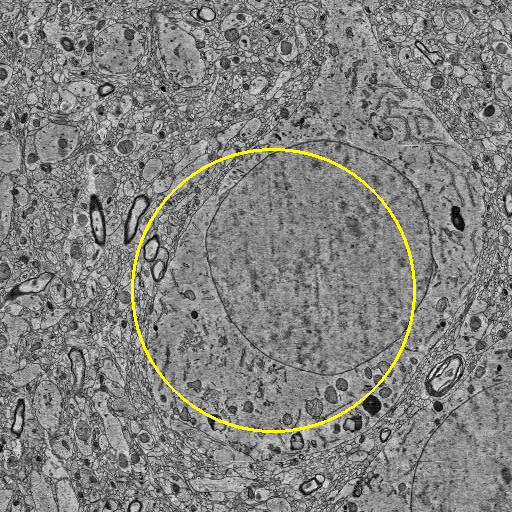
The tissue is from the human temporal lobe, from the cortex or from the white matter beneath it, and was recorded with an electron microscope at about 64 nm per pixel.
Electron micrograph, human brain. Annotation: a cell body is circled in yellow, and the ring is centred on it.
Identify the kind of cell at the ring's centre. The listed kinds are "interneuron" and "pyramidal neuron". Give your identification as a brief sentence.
The circled cell body is that of a pyramidal neuron.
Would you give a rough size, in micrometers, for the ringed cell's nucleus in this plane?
Roughly 15 micrometres across for the nucleus, in this plane.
